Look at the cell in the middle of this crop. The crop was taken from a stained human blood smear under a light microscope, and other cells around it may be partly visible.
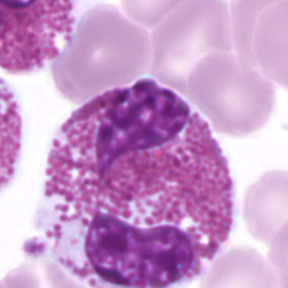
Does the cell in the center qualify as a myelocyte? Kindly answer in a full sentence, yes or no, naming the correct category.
No, this one is an eosinophil; it is not a myelocyte.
